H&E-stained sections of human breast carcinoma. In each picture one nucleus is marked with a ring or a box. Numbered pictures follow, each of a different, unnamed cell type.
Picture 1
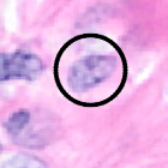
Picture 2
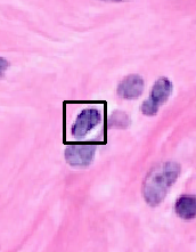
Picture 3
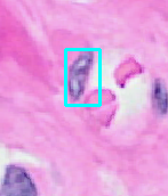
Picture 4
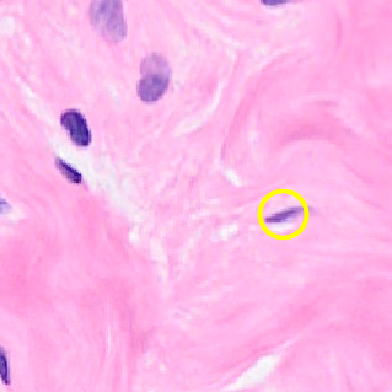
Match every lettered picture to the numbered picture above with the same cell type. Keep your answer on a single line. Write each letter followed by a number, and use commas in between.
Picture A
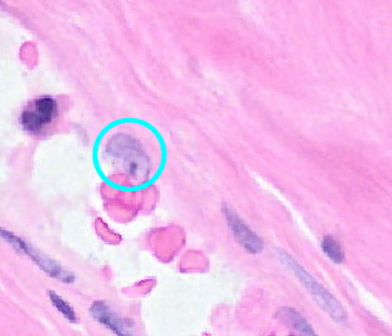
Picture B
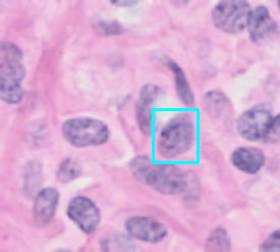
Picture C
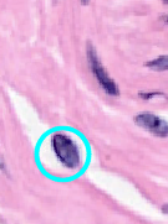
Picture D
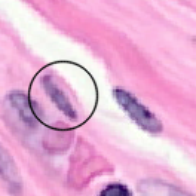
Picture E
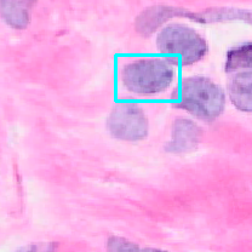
A 3, B 1, C 2, D 3, E 1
